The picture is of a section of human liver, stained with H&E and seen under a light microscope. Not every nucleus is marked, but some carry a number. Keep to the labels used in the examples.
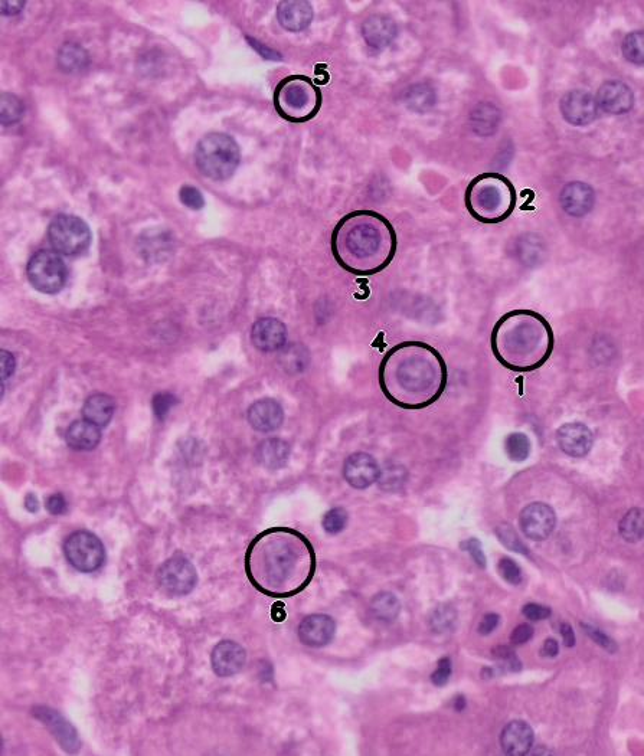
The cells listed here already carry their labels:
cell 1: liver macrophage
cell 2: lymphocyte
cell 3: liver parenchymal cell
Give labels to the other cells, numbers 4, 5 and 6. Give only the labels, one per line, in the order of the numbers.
liver parenchymal cell
lymphocyte
liver macrophage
